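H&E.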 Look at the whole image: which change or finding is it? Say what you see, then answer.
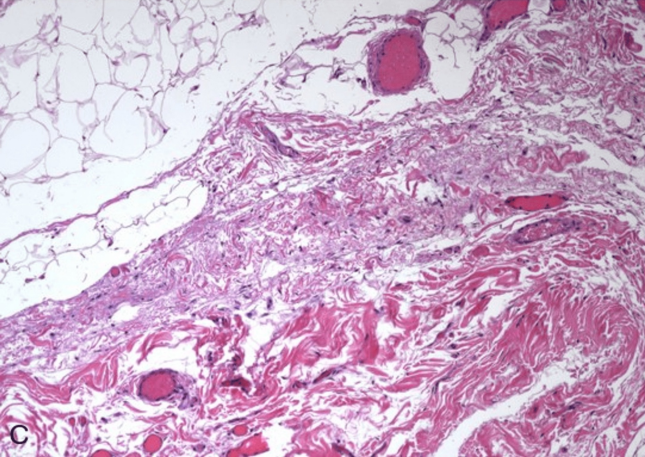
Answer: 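Bands of pink collagen lie beside clear fat cells. Nuclei are scattered unevenly through the fibrous bands. So: variably cellular fibrous septae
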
